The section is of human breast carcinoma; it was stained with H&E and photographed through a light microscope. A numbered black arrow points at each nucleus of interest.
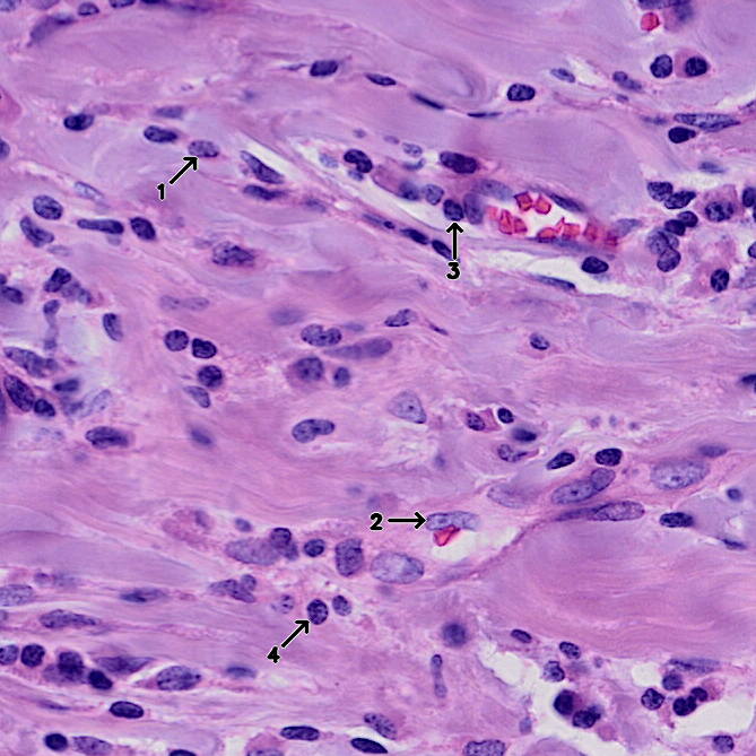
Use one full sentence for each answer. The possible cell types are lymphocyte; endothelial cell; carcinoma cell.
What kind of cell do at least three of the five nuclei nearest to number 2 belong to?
Most of the five nuclei nearest to number 2 are those of endothelial cells.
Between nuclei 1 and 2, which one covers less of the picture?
Nucleus 1 covers less area, with nucleus 2 about 2.5 times as large.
